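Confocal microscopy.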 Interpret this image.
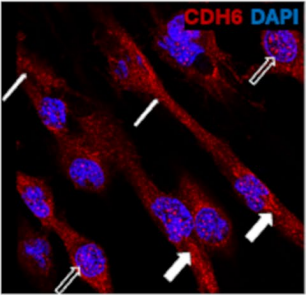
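These are cultured fibroblast-like cells seen at higher magnification, with elongated, spindle-shaped bodies that stretch diagonally across the field and overlap one another. Each cell has a large oval blue nucleus, some showing a mottled texture. Red dots also lie over several nuclei themselves. Between the cells are dark gaps free of signal, and the cell outlines are traced faintly by the red speckling along their long margins.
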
